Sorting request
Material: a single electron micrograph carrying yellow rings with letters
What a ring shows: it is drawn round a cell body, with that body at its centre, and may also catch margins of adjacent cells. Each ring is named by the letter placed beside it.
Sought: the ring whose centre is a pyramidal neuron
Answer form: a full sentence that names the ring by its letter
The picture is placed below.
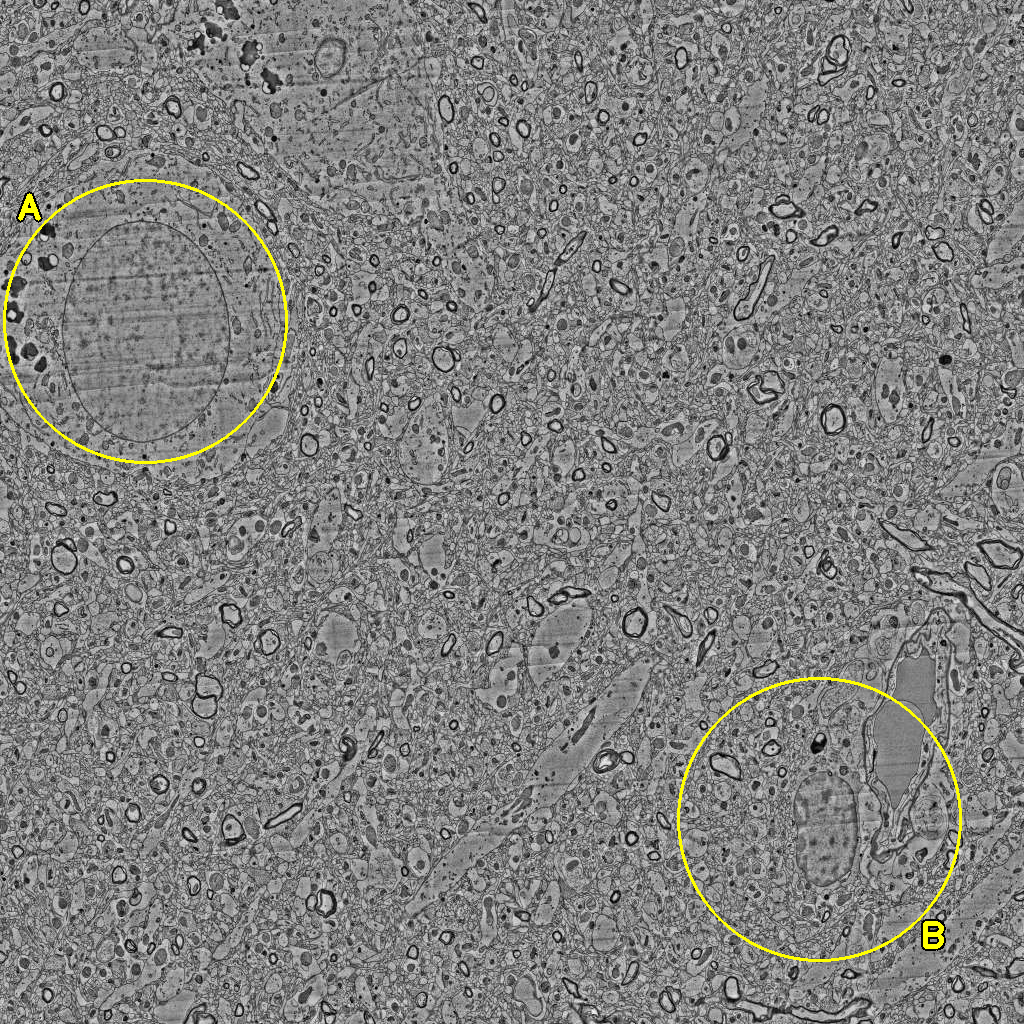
The ring centred on the cell asked for carries the letter A.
